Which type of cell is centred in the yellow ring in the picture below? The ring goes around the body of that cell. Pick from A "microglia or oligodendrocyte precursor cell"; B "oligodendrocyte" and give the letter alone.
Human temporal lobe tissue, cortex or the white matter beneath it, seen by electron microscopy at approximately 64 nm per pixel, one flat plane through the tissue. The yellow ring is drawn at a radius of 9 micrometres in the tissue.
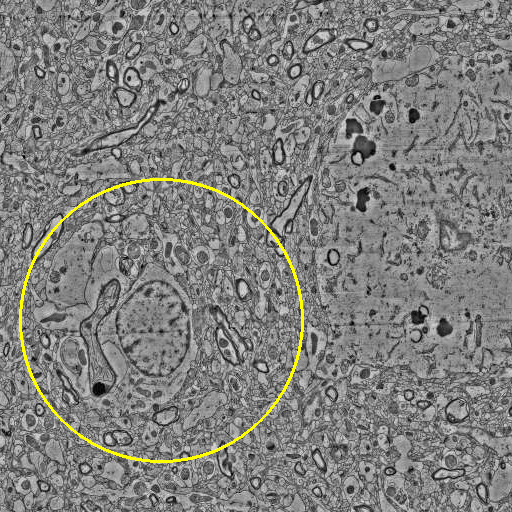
A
